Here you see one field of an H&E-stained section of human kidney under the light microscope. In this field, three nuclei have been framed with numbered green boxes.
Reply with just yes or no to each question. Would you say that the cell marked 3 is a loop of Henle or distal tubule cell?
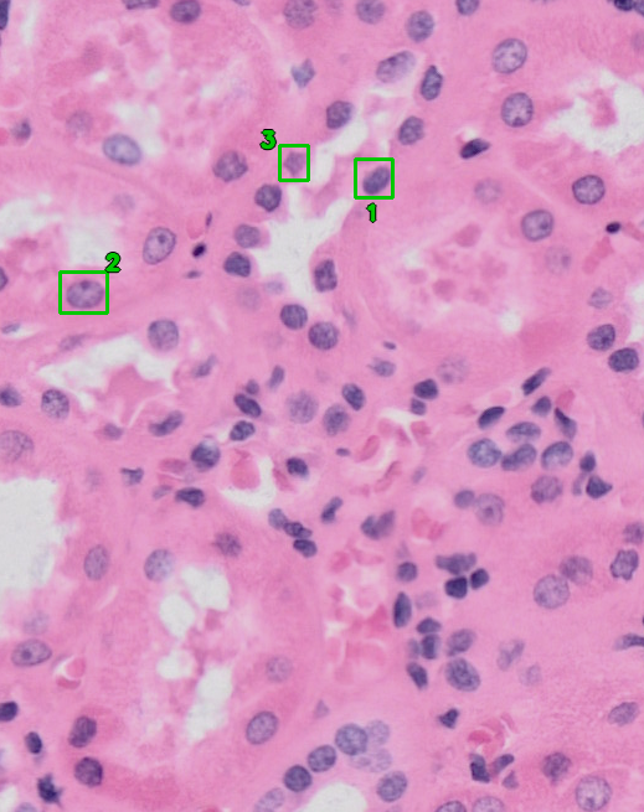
yes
